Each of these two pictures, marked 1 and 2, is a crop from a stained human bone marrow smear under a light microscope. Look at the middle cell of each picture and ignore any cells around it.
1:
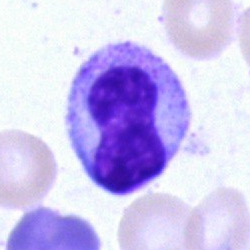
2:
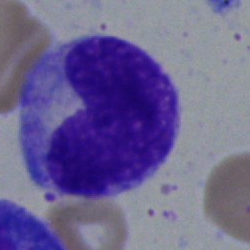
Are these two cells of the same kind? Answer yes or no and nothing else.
yes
